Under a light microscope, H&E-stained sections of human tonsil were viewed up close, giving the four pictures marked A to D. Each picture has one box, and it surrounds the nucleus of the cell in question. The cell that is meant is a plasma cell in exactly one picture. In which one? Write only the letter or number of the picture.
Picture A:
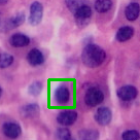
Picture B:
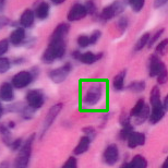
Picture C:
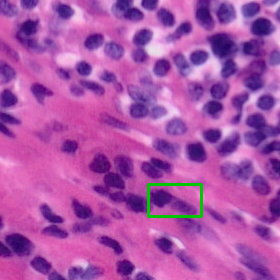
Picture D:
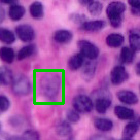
A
